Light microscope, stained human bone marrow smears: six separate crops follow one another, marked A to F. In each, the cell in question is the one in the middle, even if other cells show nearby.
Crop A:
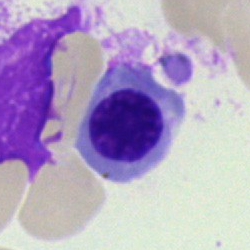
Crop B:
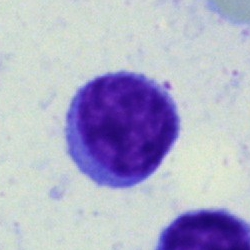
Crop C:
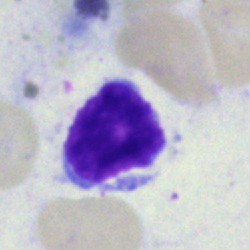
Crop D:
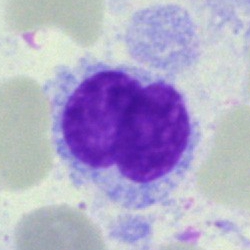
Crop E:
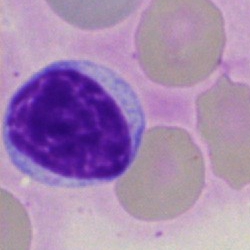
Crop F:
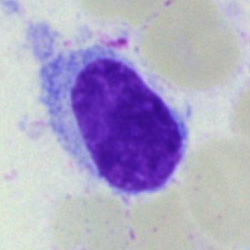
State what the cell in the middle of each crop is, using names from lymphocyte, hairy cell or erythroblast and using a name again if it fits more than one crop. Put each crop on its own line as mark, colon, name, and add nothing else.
A: erythroblast
B: lymphocyte
C: lymphocyte
D: hairy cell
E: lymphocyte
F: hairy cell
